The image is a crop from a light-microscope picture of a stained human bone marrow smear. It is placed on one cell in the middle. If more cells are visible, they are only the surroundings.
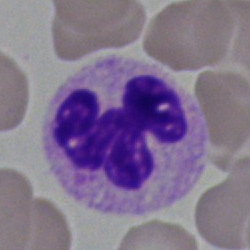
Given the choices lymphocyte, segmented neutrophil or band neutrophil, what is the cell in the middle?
segmented neutrophil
